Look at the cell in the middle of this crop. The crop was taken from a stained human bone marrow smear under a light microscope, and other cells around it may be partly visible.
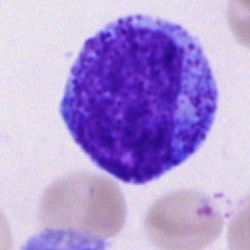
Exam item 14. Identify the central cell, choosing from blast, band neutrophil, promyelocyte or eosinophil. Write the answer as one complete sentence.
This crop has a promyelocyte at its centre.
